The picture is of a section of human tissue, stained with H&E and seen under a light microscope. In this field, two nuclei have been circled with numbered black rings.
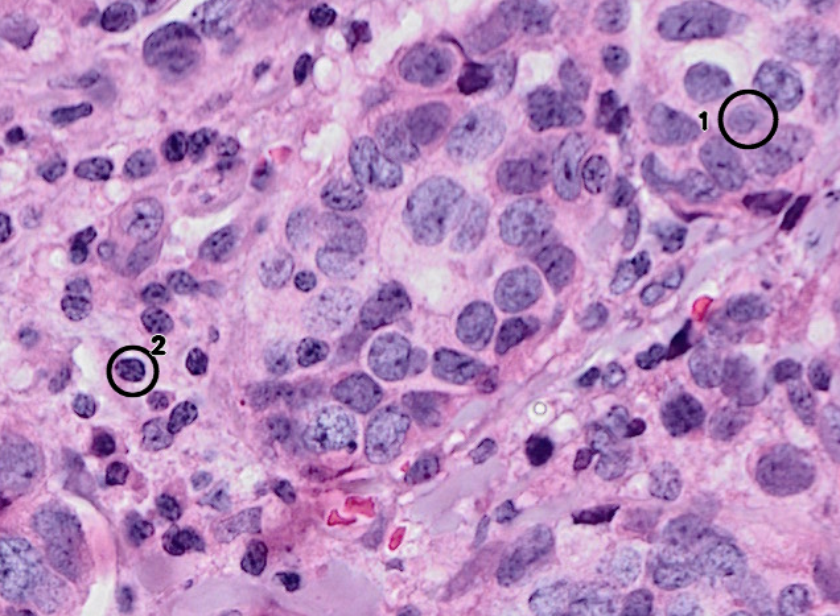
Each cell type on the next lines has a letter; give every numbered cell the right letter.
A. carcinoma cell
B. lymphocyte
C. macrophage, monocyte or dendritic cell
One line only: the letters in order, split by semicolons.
A; B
